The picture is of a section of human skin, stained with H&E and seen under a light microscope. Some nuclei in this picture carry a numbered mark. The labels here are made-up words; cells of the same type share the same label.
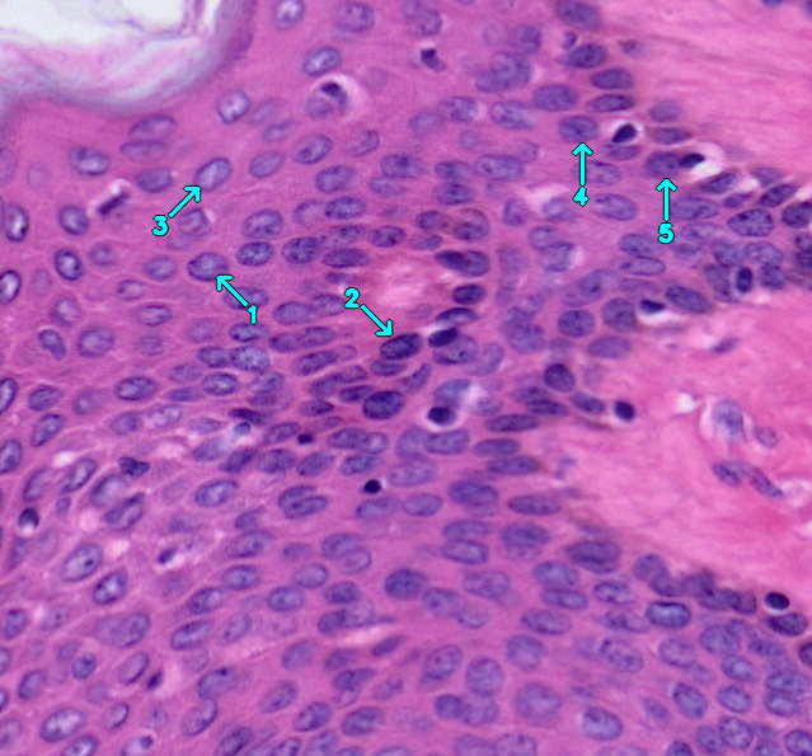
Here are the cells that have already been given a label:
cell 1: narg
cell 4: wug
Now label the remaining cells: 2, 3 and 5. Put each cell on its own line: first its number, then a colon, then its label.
2: wug
3: narg
5: wug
